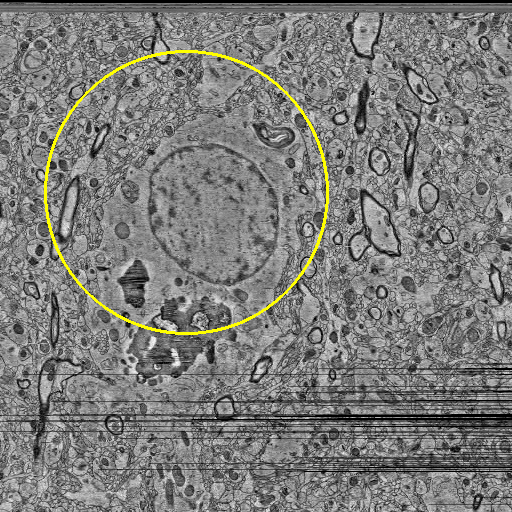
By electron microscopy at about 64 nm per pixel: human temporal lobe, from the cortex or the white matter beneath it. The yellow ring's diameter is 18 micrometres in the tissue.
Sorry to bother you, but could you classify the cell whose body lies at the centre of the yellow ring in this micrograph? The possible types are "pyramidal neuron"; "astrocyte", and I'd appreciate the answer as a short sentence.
The ringed cell body is that of an astrocyte.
